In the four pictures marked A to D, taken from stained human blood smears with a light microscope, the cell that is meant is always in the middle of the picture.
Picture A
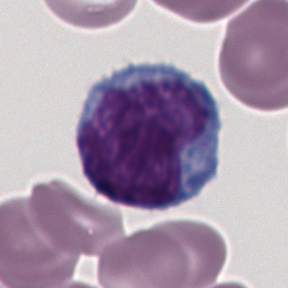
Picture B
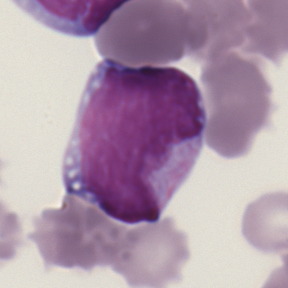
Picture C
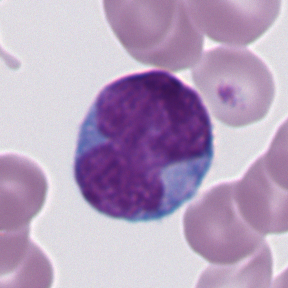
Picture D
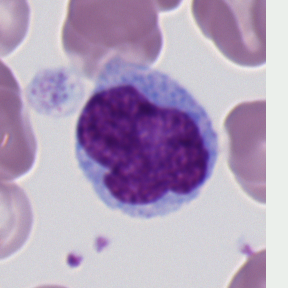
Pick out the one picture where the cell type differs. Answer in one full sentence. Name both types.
Unlike the rest, which show monocytes, picture B shows a myeloblast.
